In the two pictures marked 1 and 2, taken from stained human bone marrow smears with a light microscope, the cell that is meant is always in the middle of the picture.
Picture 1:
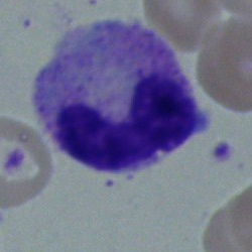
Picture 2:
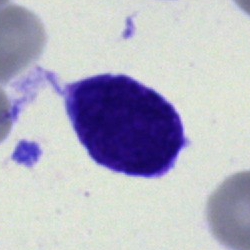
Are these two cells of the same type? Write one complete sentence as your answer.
No, they differ: the cell is a band neutrophil in picture 1 and a blast in picture 2.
